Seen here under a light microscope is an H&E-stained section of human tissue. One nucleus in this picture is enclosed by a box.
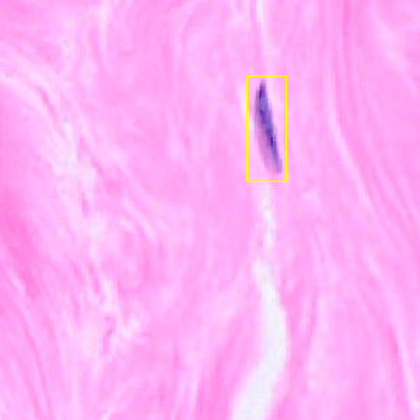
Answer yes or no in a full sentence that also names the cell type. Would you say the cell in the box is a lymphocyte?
No, the cell in the box is a fibroblast rather than a lymphocyte in this section.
